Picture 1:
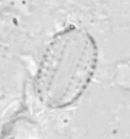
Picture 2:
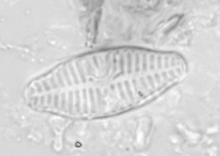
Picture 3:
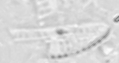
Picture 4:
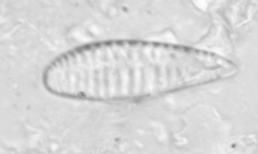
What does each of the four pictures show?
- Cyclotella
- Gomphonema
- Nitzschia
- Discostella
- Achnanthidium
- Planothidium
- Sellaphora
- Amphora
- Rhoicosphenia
Picture 1: Amphora
Picture 2: Planothidium
Picture 3: Amphora
Picture 4: Rhoicosphenia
